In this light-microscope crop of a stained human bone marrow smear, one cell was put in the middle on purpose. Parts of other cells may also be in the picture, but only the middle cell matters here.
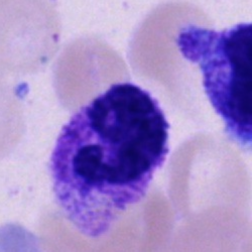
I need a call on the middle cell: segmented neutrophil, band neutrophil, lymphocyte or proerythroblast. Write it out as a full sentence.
To answer, the cell in the center of the crop is a segmented neutrophil.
